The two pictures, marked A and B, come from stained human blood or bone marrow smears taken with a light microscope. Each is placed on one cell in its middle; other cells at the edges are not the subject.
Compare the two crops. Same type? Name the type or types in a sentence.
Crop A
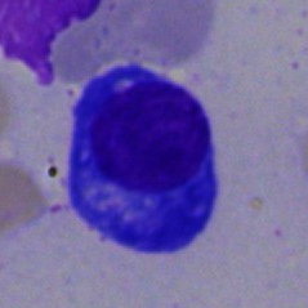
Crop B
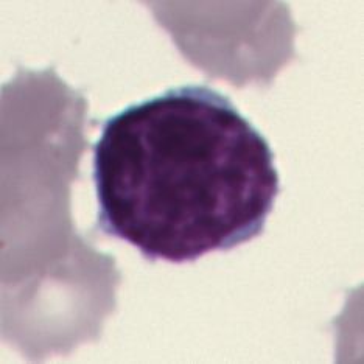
No, crop A contains a plasma cell; a lymphocyte is what crop B contains.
